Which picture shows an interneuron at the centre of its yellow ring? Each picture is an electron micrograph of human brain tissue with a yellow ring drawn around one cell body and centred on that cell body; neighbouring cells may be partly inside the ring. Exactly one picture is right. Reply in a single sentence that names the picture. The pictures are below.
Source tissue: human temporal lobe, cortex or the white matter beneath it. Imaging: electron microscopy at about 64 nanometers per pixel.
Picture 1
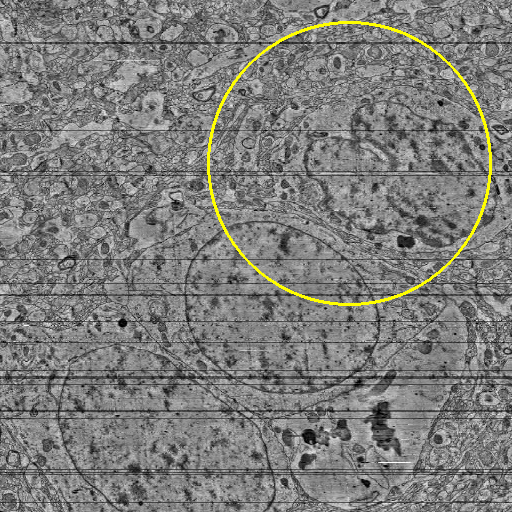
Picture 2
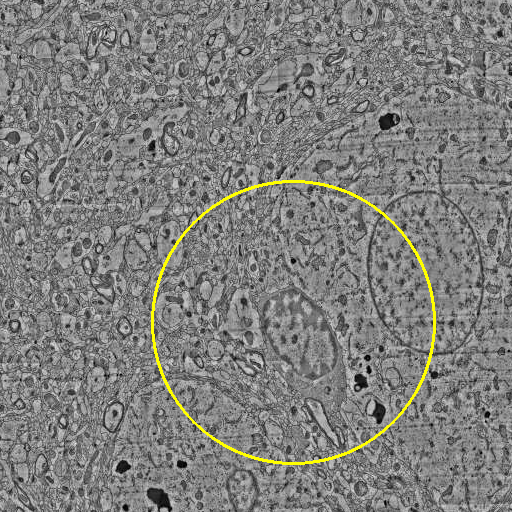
Picture 1 shows it.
